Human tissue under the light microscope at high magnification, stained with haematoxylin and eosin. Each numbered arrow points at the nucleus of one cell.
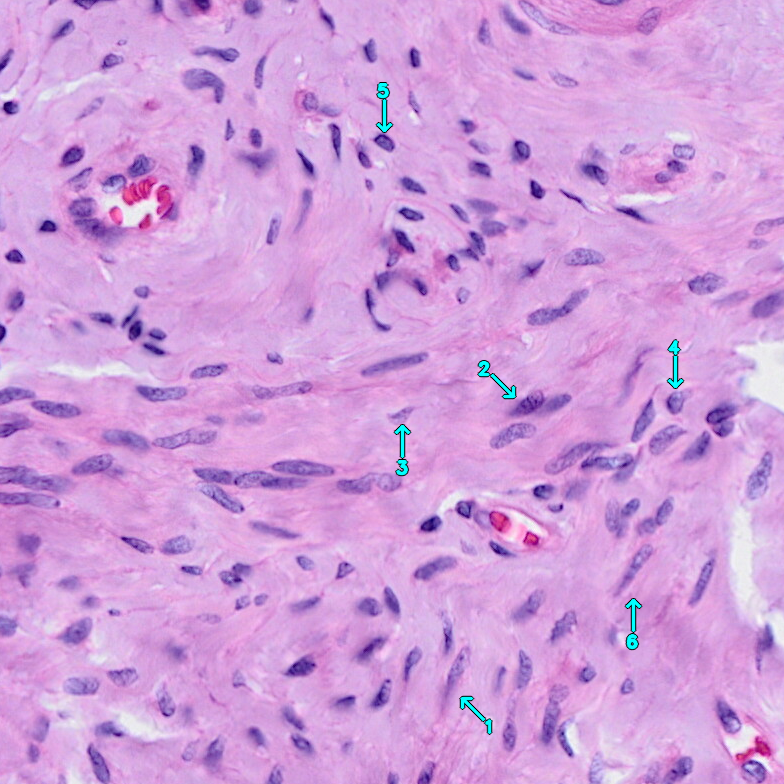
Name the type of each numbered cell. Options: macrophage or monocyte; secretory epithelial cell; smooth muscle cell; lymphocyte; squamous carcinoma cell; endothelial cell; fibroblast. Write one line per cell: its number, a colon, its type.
1: smooth muscle cell
2: fibroblast
3: fibroblast
4: fibroblast
5: fibroblast
6: smooth muscle cell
